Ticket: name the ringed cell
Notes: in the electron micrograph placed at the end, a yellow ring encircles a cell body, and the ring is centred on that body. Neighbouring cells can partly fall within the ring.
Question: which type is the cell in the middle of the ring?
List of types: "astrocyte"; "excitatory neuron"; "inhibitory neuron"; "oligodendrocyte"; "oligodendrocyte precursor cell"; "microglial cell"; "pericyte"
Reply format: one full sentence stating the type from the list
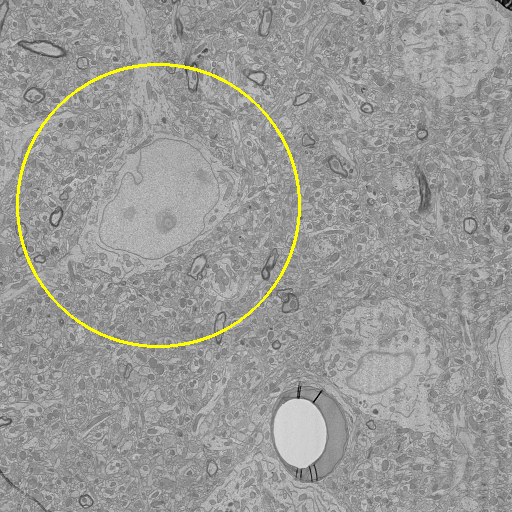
The cell sitting at the centre of the yellow ring is an excitatory neuron.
